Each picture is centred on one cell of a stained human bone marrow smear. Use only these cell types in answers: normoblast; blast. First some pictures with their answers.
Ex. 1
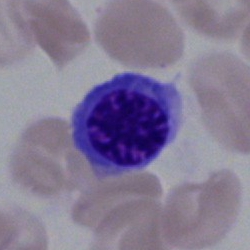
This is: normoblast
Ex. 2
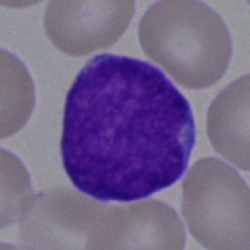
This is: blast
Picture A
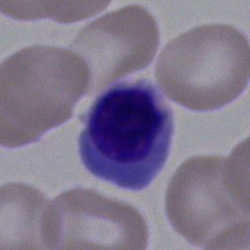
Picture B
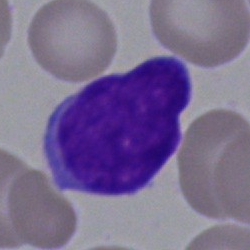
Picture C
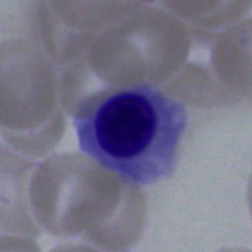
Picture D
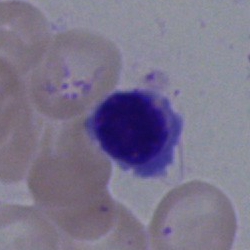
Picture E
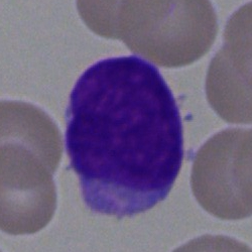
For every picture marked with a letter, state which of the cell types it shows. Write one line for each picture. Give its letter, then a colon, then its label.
A: normoblast
B: blast
C: normoblast
D: normoblast
E: blast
